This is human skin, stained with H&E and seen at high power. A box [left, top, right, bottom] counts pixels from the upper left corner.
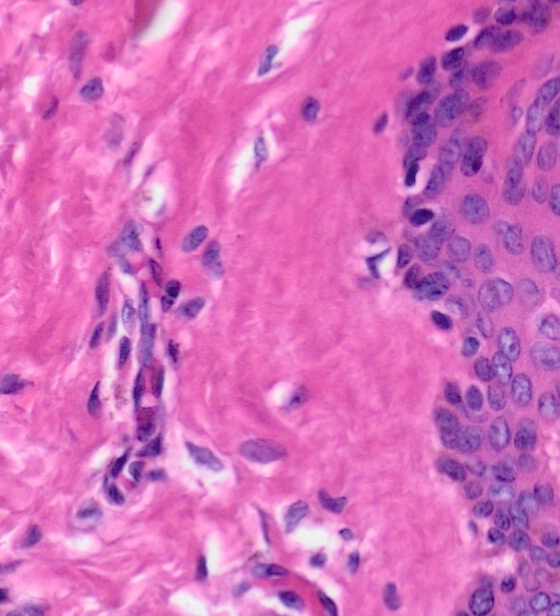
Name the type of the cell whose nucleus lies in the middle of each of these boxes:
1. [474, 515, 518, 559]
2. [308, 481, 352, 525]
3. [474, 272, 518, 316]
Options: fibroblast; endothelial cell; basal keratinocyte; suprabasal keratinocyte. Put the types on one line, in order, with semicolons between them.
basal keratinocyte; fibroblast; suprabasal keratinocyte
